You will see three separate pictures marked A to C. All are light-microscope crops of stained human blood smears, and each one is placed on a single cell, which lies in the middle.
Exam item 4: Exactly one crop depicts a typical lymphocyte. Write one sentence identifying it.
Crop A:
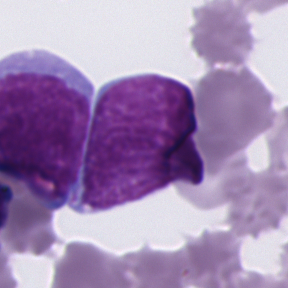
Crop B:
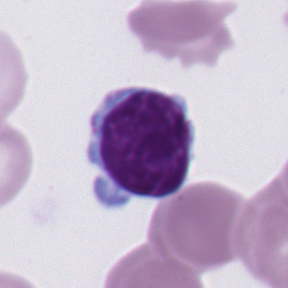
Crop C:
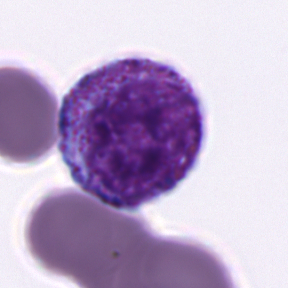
Crop B matches the request, showing a typical lymphocyte.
